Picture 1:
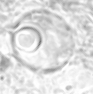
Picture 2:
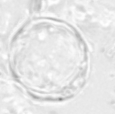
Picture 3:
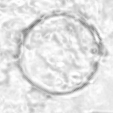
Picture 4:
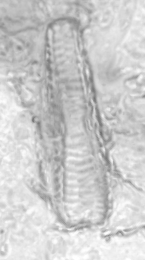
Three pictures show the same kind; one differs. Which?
Picture 4: Gomphonema, while the others are Discostella.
